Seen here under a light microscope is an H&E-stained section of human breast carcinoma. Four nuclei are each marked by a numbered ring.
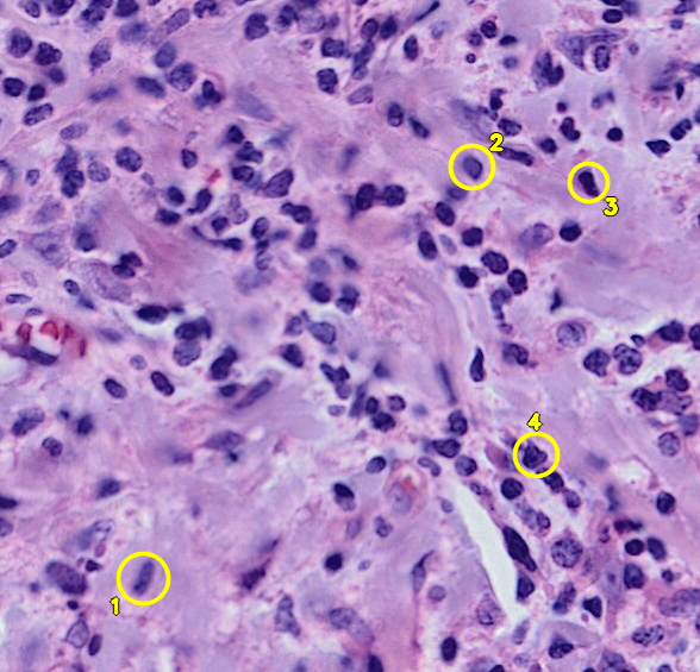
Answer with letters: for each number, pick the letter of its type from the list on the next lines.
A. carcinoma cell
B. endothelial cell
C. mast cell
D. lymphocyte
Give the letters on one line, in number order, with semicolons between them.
C; D; D; D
